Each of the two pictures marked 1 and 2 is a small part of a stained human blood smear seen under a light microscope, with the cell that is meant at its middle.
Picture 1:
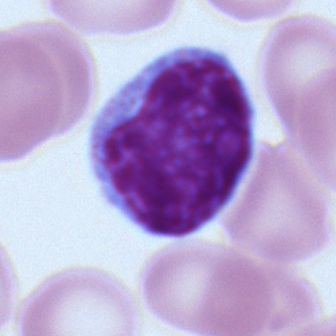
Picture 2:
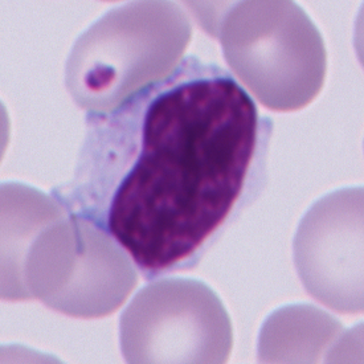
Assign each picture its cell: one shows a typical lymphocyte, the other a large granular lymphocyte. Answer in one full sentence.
It is picture 1 that shows a typical lymphocyte, and picture 2 that shows a large granular lymphocyte.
